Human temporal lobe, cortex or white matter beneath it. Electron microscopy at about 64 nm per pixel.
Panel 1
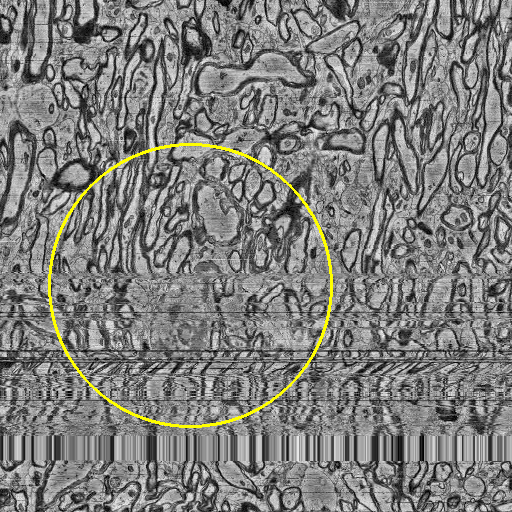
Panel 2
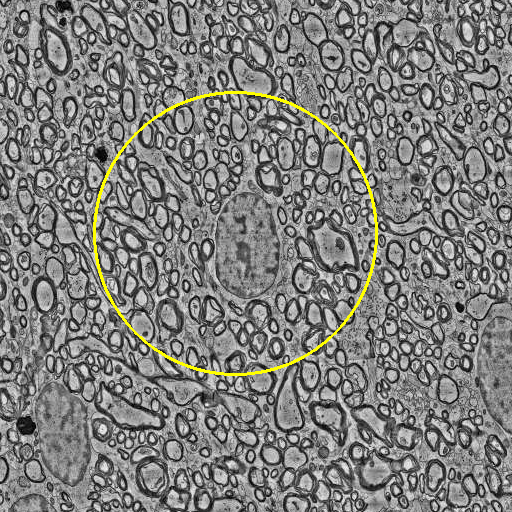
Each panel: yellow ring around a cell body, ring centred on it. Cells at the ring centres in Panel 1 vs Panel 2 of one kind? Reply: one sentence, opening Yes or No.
Yes, Panel 1 and Panel 2 have cells of one kind at the ring centres.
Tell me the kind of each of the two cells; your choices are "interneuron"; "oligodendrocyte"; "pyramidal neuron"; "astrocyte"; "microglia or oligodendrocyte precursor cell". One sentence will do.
The cell in the first picture is a microglial cell or oligodendrocyte precursor cell, and so is the one in the second.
